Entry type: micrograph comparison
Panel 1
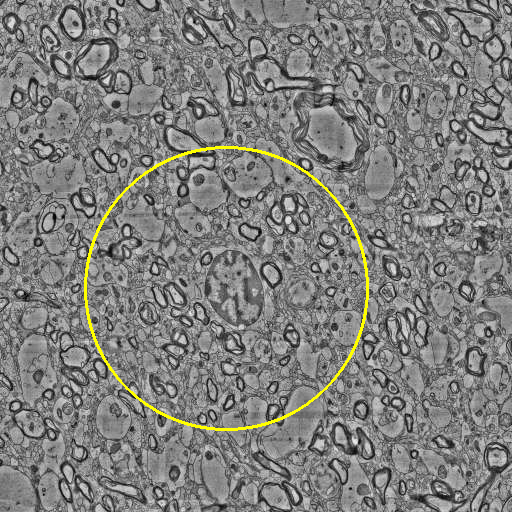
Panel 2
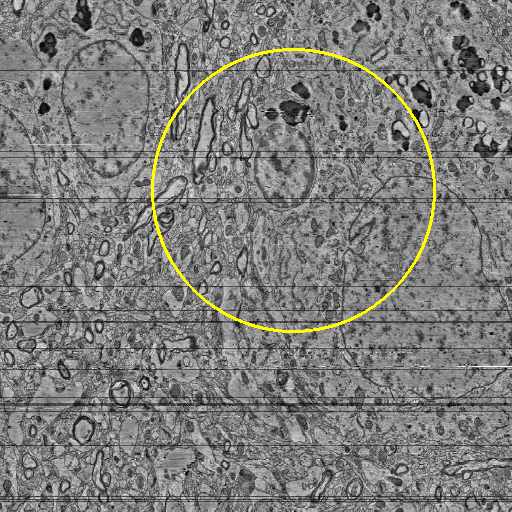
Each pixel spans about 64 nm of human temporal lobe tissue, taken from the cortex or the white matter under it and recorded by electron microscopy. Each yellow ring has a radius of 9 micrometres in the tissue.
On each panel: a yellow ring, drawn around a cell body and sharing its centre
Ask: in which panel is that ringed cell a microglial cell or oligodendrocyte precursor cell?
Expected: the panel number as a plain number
1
